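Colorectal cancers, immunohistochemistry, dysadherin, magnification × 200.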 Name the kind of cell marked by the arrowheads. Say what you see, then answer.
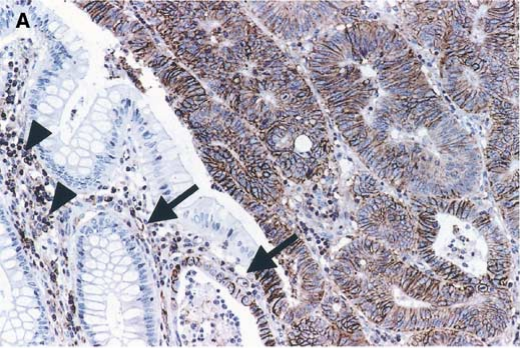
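The arrowheads point to small cells with round, dark nuclei and scant cytoplasm. These cells lie scattered in the stroma between glands. So: lymphocytes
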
